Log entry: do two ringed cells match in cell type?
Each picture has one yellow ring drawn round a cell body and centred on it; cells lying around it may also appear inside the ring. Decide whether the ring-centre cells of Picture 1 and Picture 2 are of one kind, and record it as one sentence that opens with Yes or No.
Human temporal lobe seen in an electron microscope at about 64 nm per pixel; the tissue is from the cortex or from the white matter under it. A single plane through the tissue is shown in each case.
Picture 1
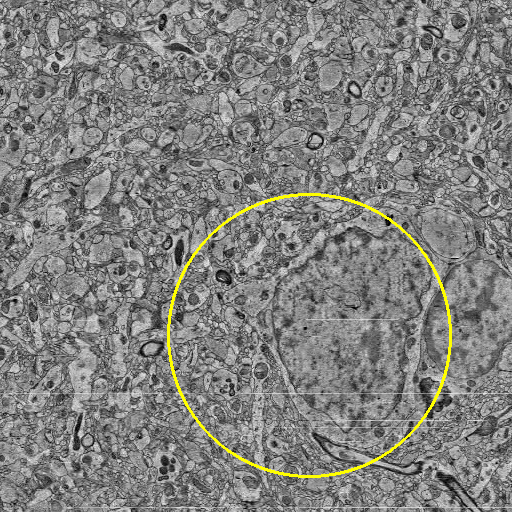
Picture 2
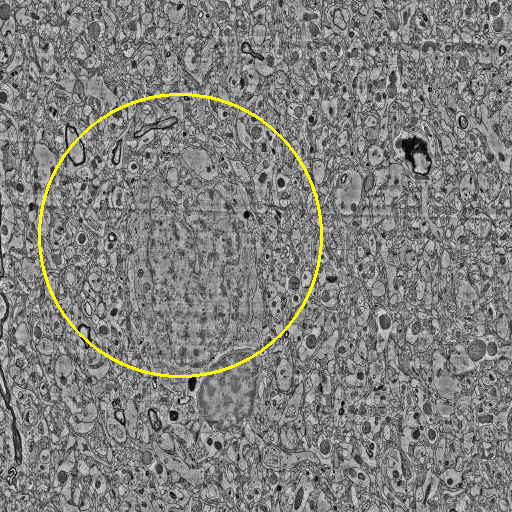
Yes, the cells at the ring centres of the two pictures belong to one kind.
